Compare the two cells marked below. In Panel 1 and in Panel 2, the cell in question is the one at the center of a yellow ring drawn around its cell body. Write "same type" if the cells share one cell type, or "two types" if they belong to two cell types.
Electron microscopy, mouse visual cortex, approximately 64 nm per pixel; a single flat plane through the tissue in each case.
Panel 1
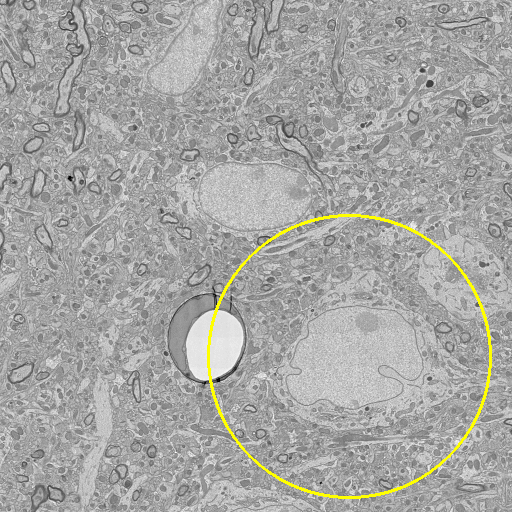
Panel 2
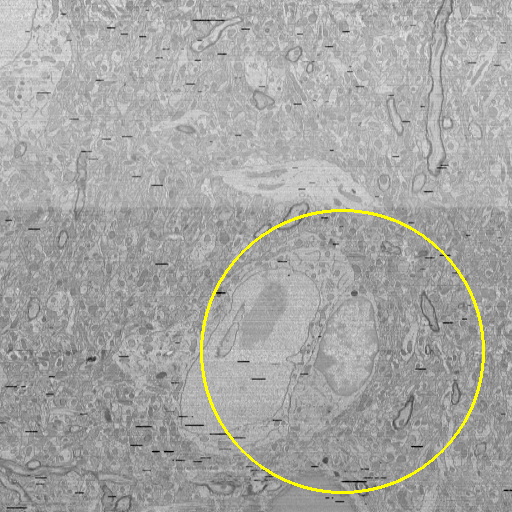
two types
